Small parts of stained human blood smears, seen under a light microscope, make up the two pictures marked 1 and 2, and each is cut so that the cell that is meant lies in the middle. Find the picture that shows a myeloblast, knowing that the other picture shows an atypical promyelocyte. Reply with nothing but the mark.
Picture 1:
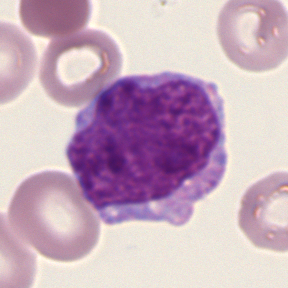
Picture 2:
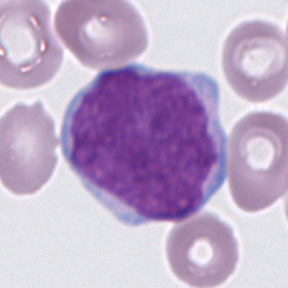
2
